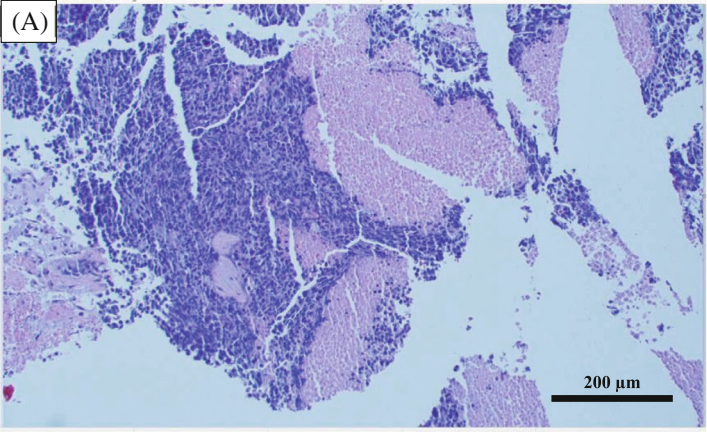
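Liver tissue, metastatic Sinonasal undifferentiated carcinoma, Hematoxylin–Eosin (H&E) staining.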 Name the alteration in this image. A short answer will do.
Extensive necrosis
